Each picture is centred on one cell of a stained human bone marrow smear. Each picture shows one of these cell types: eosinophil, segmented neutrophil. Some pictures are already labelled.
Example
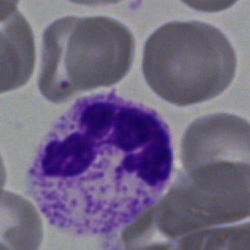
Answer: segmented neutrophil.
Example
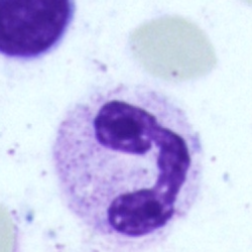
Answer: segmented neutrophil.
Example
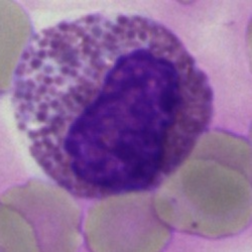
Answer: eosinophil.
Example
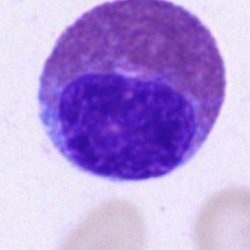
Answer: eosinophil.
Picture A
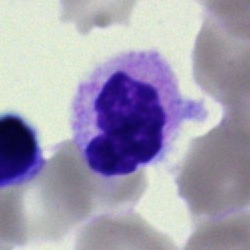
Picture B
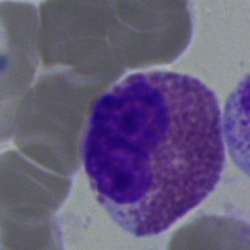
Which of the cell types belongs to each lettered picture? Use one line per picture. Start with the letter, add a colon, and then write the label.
A: segmented neutrophil.
B: eosinophil.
